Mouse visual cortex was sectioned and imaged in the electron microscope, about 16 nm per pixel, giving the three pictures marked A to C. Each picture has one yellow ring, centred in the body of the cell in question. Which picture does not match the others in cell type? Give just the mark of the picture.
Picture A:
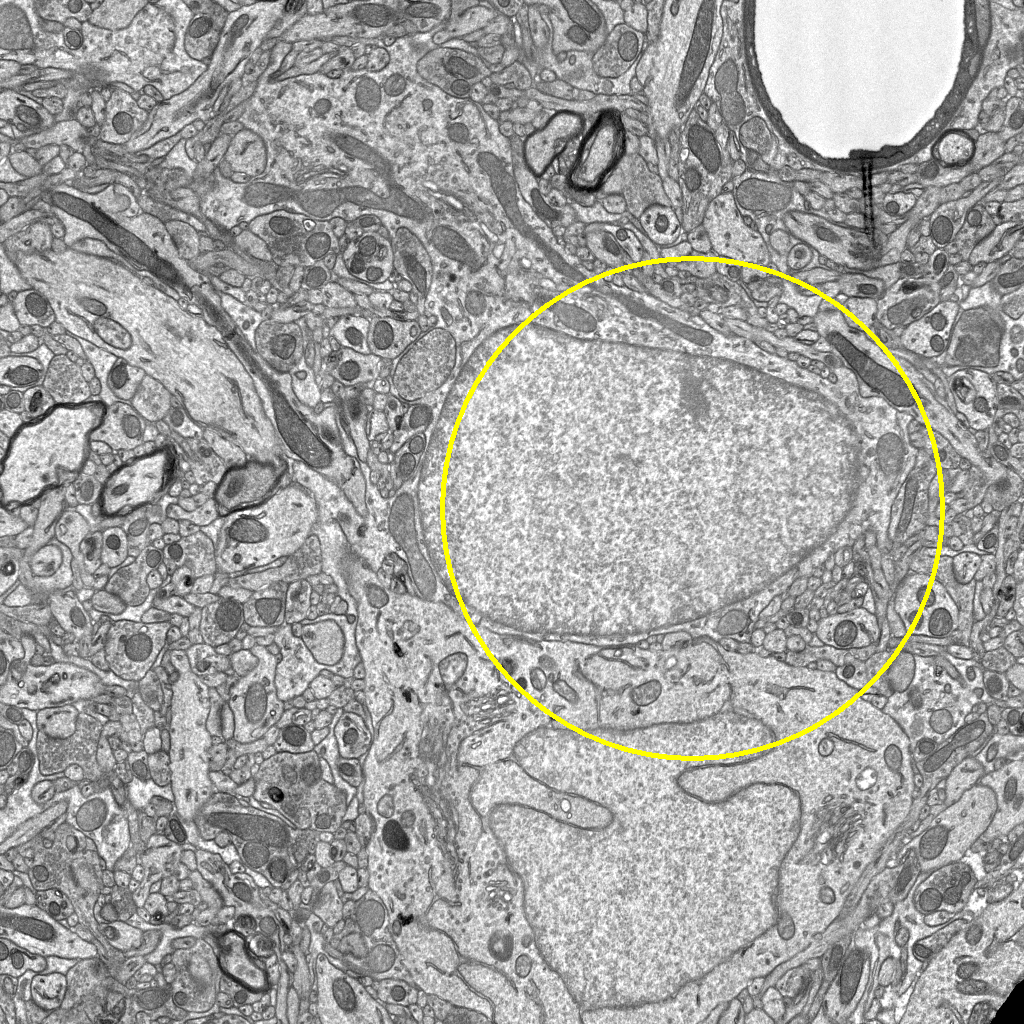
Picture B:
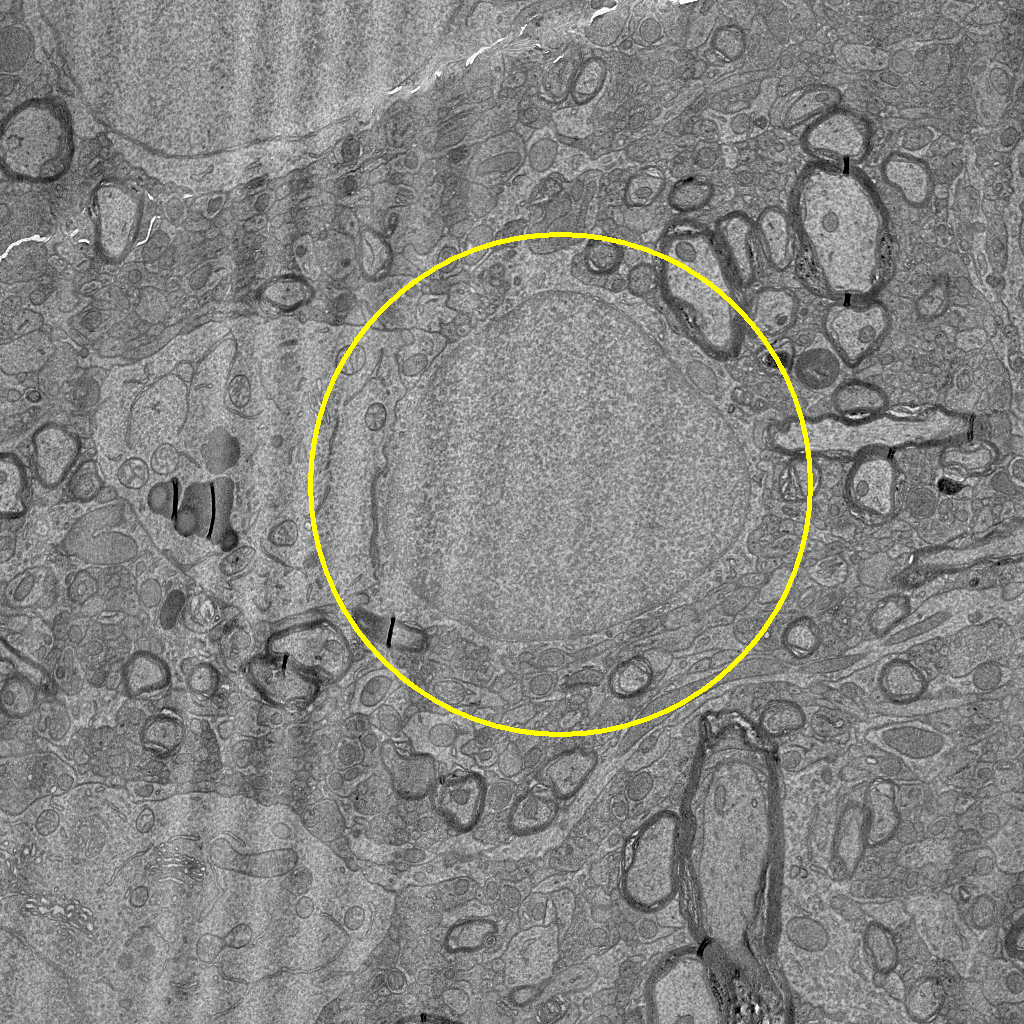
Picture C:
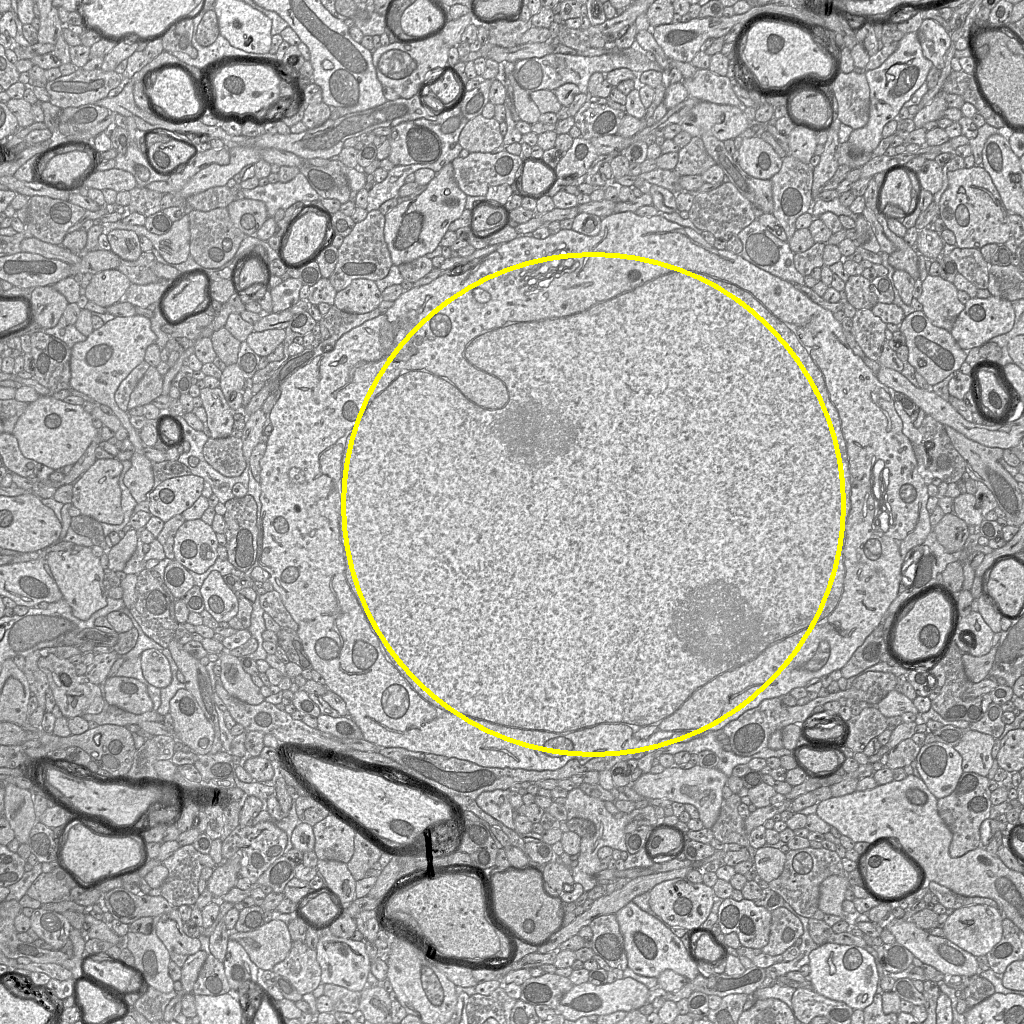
C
